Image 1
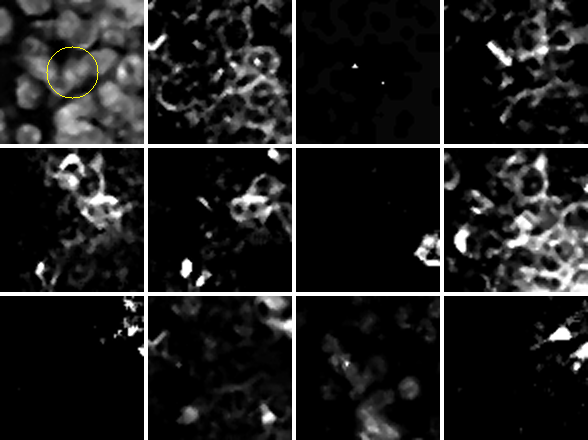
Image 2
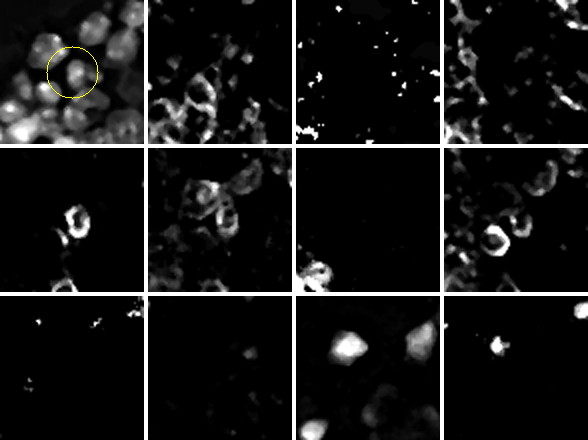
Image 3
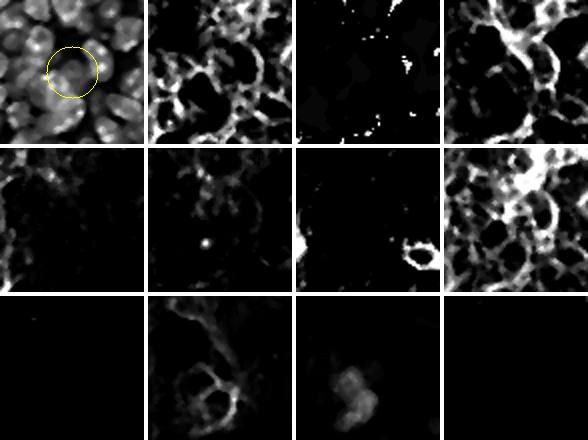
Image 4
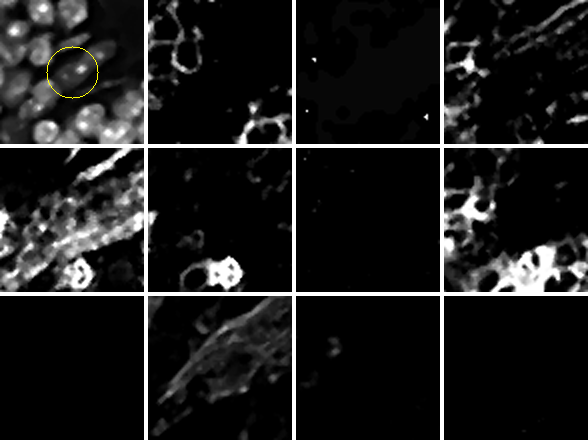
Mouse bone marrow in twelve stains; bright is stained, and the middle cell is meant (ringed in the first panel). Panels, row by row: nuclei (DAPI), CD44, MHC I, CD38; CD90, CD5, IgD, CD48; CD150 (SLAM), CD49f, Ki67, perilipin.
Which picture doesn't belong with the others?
Picture 2.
